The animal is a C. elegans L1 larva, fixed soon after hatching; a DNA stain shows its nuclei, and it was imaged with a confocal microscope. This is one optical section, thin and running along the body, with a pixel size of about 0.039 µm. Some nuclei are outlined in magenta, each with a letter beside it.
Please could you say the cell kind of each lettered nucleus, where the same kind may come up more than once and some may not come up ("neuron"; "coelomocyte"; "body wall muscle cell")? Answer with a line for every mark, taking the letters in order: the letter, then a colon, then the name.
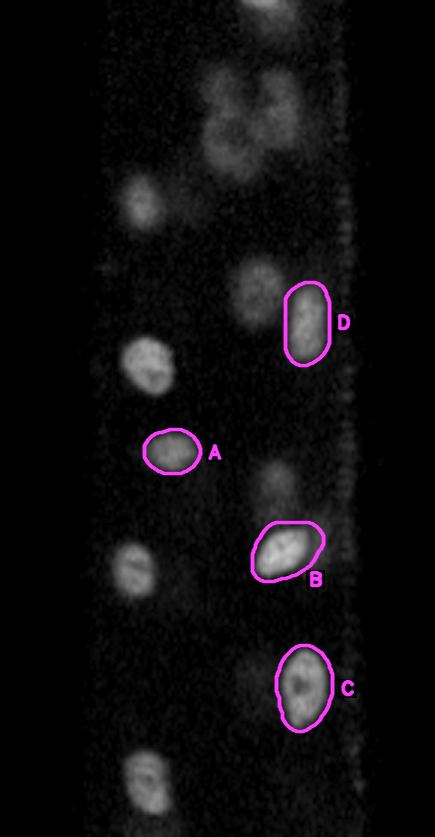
A: neuron
B: coelomocyte
C: body wall muscle cell
D: body wall muscle cell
